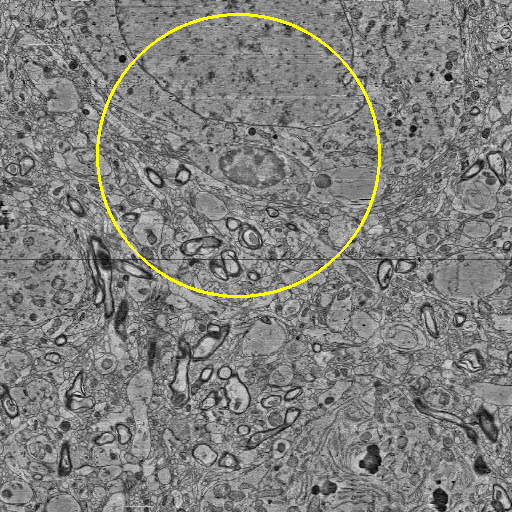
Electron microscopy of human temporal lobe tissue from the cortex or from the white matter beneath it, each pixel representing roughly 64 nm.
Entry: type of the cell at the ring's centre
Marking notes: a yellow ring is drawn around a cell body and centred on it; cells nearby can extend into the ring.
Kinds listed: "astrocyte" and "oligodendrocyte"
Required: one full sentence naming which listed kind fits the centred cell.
My entry names an oligodendrocyte as the cell whose body the yellow ring centres on.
